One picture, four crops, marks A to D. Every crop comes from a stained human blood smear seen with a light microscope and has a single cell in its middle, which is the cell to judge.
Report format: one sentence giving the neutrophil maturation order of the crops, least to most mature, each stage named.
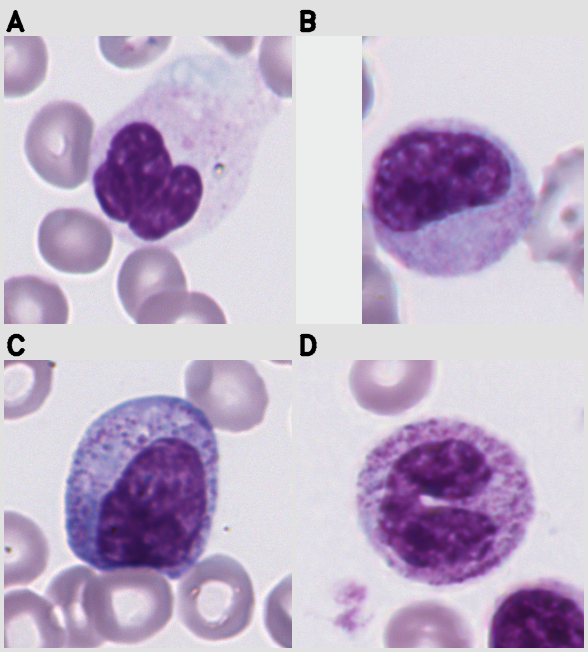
The ordering by maturity, from earliest to most mature, is crop C (a promyelocyte), crop B (a metamyelocyte), crop D (a band neutrophil) and crop A (a segmented neutrophil).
